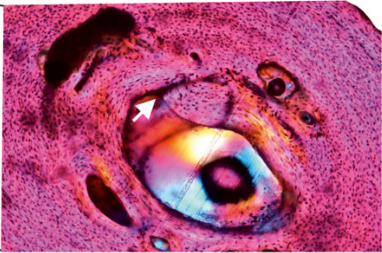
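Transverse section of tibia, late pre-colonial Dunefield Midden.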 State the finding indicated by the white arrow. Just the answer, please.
Resorption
